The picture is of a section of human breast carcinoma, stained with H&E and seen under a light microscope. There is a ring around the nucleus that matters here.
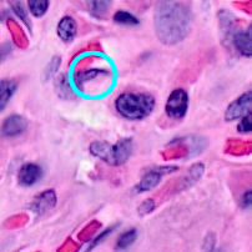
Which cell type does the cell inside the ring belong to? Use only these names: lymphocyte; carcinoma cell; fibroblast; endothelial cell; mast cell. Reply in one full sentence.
To be brief about it, the cell inside the ring is an endothelial cell.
